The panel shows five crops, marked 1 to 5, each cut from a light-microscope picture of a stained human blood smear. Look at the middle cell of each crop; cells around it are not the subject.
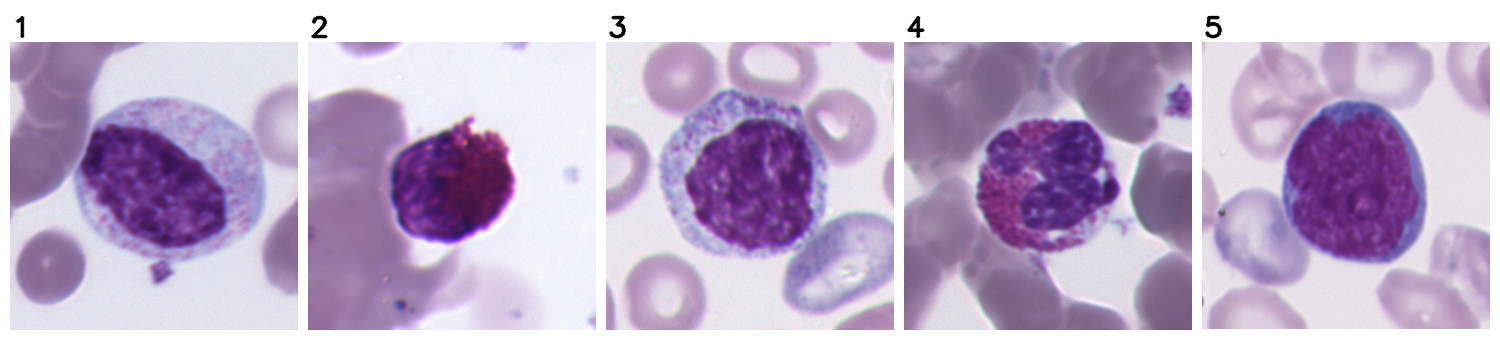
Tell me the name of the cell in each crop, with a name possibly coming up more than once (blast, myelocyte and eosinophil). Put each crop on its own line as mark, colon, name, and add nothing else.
1: myelocyte
2: eosinophil
3: myelocyte
4: eosinophil
5: blast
